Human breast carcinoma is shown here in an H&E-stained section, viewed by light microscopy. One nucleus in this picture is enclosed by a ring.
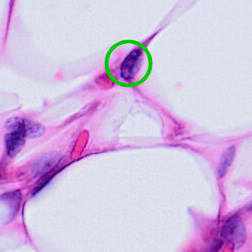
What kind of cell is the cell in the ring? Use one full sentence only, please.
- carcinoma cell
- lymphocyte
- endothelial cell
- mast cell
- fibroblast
With respect to cell type, the cell in the ring is an endothelial cell.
